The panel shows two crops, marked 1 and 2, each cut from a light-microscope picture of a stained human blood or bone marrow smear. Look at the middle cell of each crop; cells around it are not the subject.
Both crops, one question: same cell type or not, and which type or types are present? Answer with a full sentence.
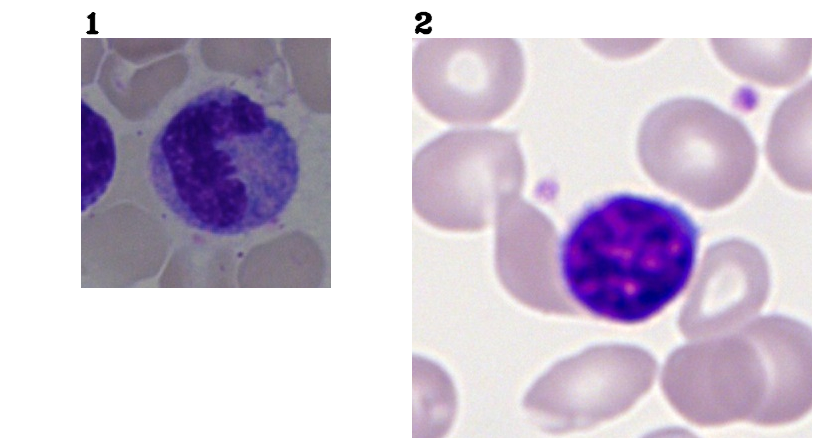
No, the central cell of crop 1 is a monocyte; that of crop 2 is a lymphocyte.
